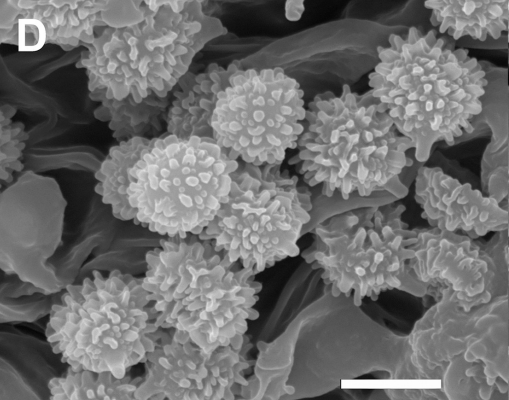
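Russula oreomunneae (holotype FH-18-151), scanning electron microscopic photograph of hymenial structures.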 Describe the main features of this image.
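Spores of a mushroom gill surface, rounded and of similar size, crowded together over smooth folded membranous tissue. Each spore is densely ornamented with short blunt spines and warts, some fused into short crests.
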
